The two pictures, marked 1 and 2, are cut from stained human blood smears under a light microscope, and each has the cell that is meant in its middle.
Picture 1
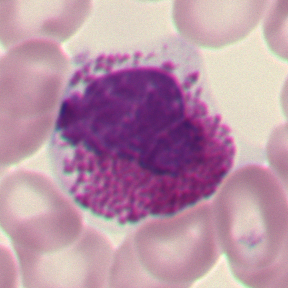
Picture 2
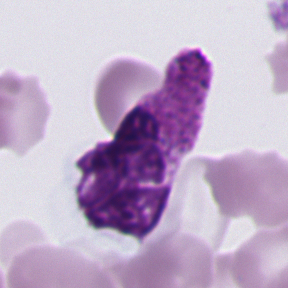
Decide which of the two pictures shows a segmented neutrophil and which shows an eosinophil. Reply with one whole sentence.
In picture 1 the cell is an eosinophil; in picture 2, a segmented neutrophil.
